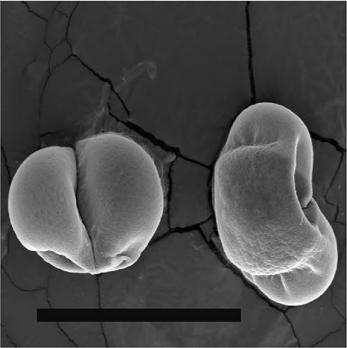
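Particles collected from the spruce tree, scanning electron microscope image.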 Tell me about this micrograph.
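The grain on the left is seen from one face and looks like two rounded lobes pressed together, with a furrow running down the middle between them. The grain on the right is seen more from the side and is curved like a kidney, with a swollen rounded part at each end. Both grains are of similar size and lie apart from one another.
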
